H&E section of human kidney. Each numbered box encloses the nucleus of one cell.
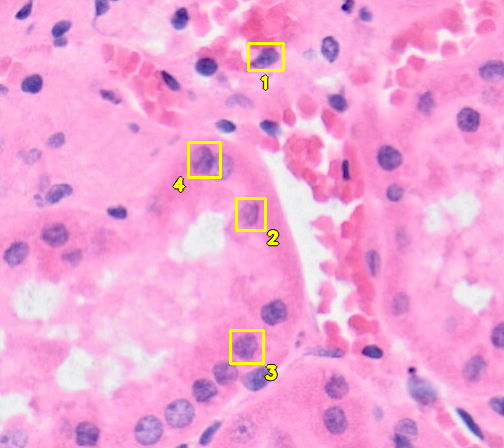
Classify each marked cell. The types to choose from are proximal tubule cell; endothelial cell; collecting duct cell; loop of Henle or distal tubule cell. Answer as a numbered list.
1. endothelial cell
2. proximal tubule cell
3. proximal tubule cell
4. proximal tubule cell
